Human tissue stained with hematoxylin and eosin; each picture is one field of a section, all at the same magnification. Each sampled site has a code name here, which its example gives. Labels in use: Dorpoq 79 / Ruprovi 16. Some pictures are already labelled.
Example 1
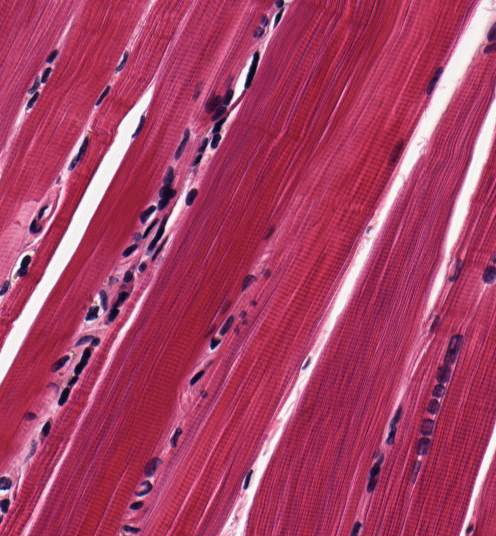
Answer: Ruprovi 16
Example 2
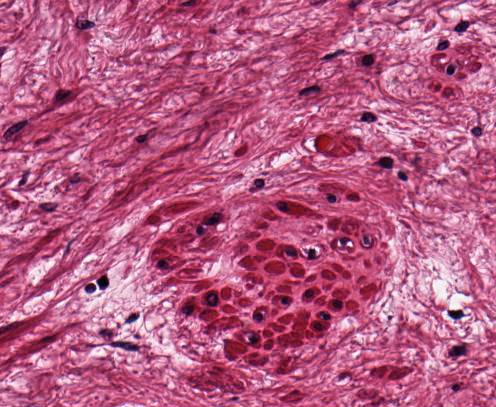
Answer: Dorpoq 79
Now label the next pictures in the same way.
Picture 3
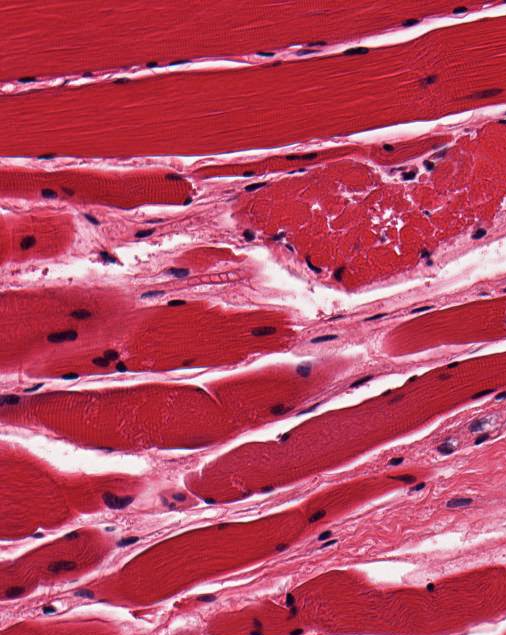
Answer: Ruprovi 16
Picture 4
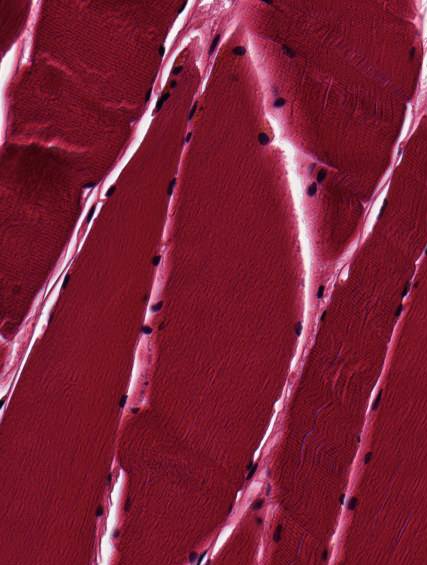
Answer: Ruprovi 16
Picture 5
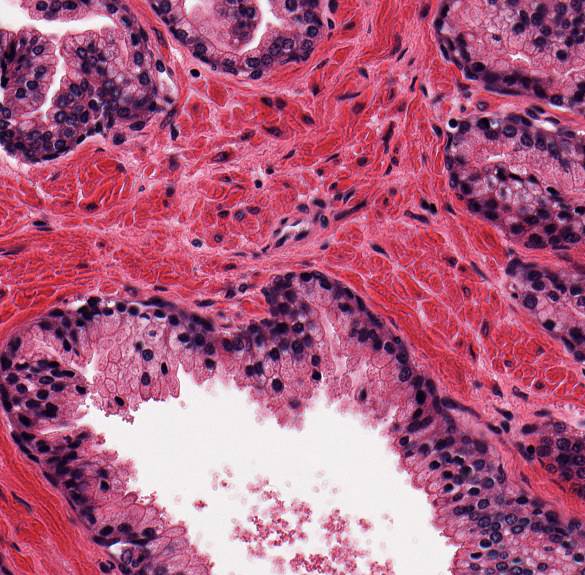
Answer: Dorpoq 79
